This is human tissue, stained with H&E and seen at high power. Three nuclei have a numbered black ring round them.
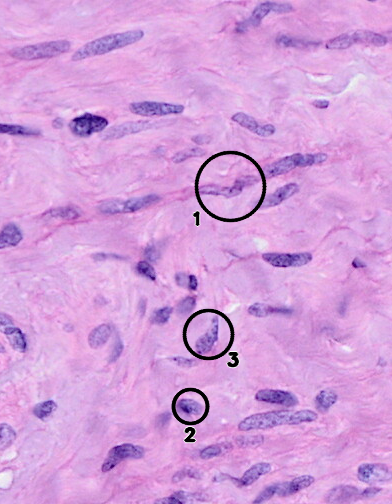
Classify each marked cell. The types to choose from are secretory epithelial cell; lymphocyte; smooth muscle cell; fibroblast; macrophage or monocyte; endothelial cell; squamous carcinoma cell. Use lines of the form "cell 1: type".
cell 1: smooth muscle cell
cell 2: fibroblast
cell 3: fibroblast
